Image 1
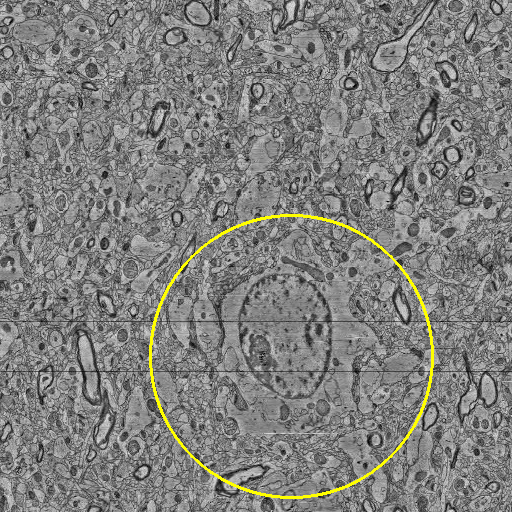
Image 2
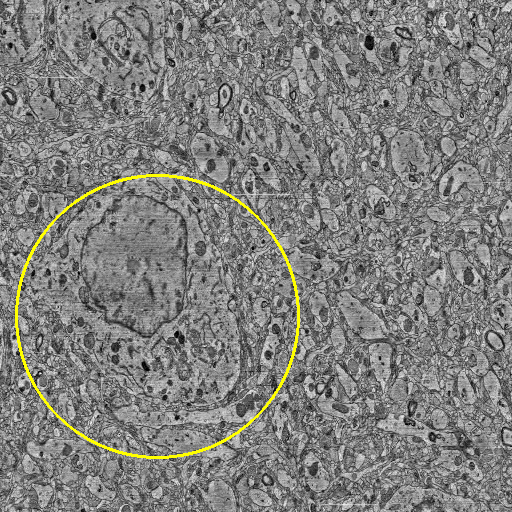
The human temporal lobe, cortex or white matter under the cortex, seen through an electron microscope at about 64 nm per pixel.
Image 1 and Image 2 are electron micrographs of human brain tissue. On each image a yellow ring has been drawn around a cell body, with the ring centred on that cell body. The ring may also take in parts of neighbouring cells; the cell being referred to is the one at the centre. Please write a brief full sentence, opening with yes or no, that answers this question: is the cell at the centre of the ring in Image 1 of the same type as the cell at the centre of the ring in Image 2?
No, the two cells are of two types.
